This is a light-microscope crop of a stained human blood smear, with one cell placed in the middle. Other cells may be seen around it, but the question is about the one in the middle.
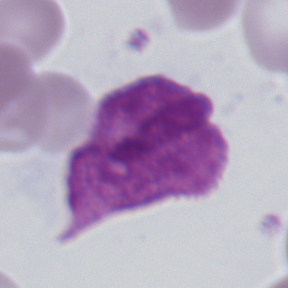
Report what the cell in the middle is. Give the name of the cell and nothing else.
smudge cell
